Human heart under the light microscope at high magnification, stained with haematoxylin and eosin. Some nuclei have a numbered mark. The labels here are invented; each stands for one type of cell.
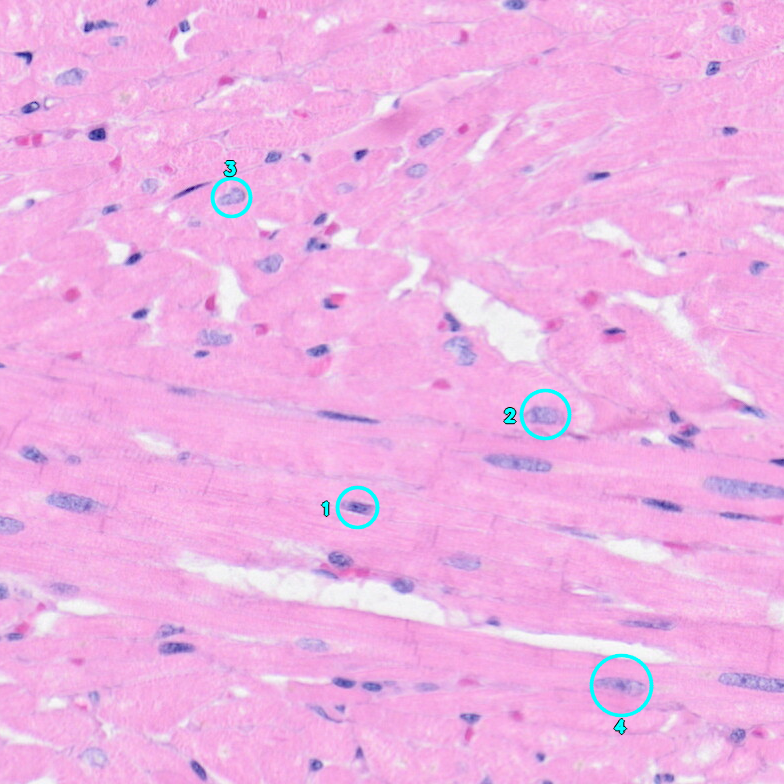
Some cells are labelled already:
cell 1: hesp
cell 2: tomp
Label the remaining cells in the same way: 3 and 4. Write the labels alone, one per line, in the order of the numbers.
tomp
tomp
